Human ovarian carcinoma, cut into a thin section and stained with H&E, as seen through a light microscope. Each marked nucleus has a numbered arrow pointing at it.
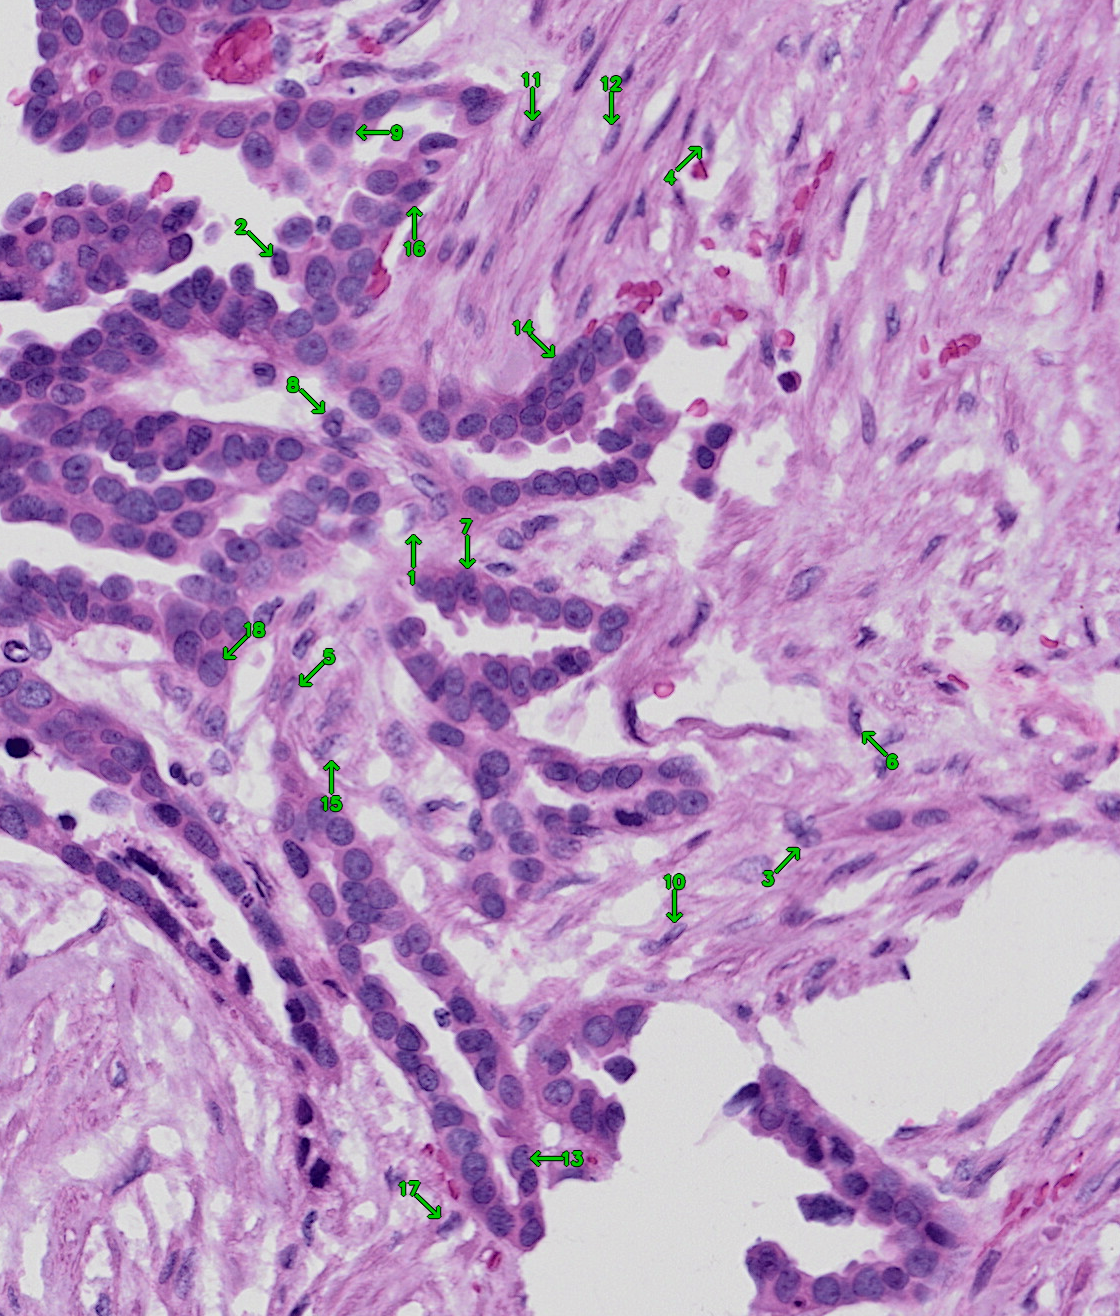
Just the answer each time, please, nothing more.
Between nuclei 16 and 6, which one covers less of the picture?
6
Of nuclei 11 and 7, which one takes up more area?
7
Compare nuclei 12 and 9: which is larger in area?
9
